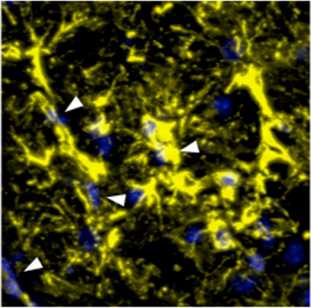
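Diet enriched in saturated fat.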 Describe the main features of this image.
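This is brain tissue with a dense meshwork of branched, star-shaped astrocytes outlined in yellow. Their thick, tangled processes radiate in many directions and interweave across most of the field. Blue nuclei are scattered between and within the yellow meshwork, some round and some elongated. Several elongated, flattened nuclei marked by arrowheads lie along the processes, consistent with the lining cells of small vessels.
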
